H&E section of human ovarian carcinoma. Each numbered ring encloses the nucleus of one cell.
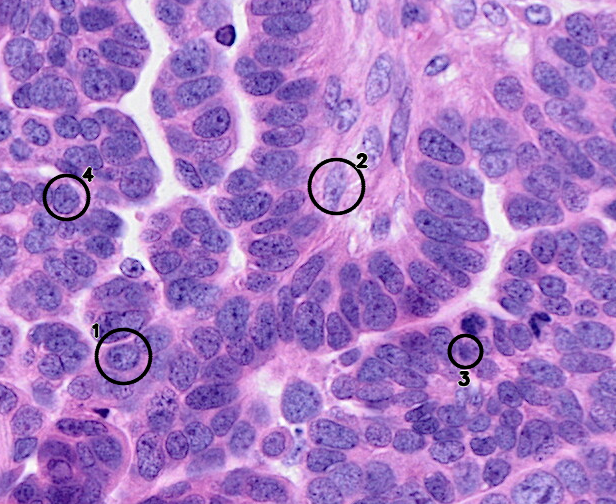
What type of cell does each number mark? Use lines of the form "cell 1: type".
cell 1: carcinoma cell
cell 2: fibroblast
cell 3: carcinoma cell
cell 4: carcinoma cell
